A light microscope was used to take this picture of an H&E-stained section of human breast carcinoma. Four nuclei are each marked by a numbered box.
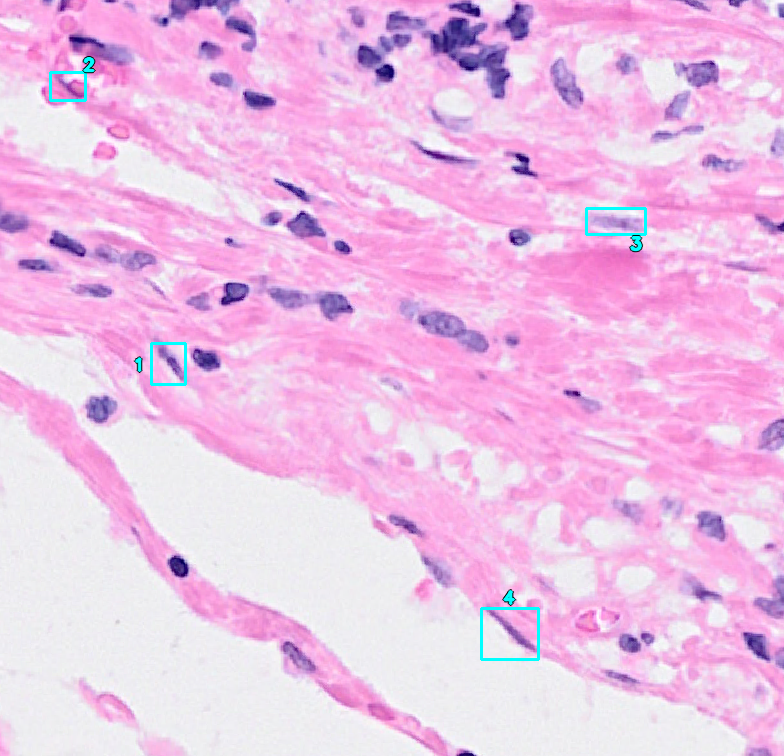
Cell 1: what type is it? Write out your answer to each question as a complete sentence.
Cell 1 is classified as a fibroblast.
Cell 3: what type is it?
The cell numbered 3 represents a fibroblast.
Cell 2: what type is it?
The identity of cell 2 is that of an endothelial cell.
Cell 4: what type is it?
The marked cell bearing number 4 is a fibroblast.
